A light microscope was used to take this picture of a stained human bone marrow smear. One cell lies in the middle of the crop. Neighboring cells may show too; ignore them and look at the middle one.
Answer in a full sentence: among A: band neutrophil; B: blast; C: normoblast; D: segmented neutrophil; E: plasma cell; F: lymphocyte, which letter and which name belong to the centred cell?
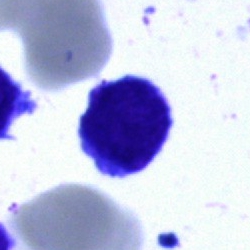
This one is option F, since the cell at the center is a lymphocyte.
